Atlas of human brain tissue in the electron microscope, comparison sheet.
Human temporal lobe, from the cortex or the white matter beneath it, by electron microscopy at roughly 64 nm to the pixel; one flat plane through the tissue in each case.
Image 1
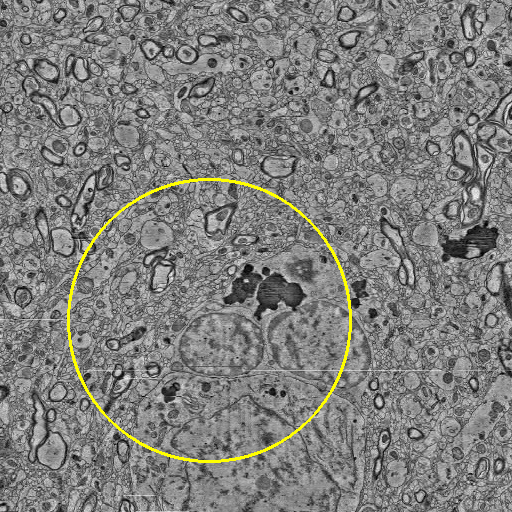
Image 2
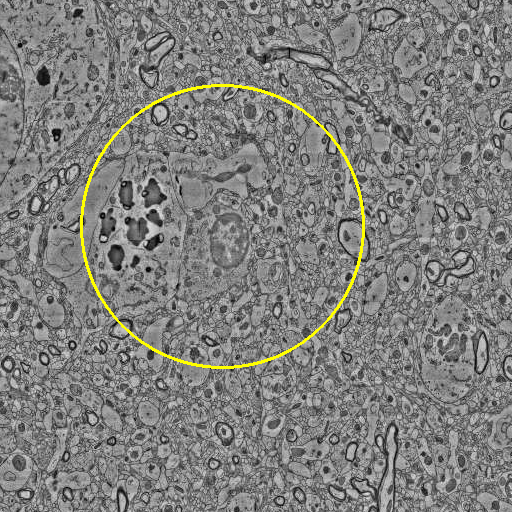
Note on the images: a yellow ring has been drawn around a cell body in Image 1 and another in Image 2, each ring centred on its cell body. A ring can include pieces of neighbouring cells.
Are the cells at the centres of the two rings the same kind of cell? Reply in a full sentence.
Yes, both cells are of the same kind.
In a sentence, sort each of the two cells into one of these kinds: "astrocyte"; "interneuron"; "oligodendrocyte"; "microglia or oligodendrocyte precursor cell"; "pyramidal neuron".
The cell at the ring centre is an oligodendrocyte in both pictures.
